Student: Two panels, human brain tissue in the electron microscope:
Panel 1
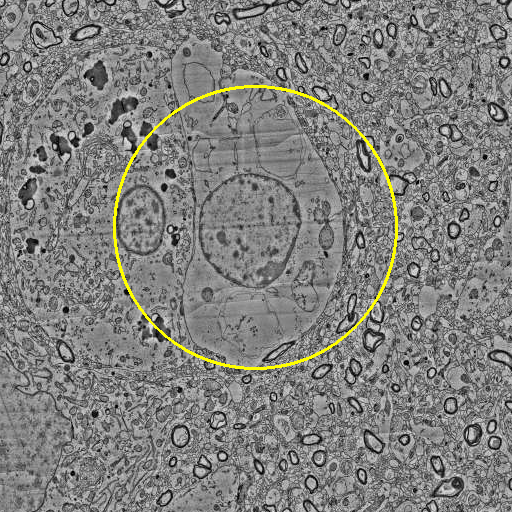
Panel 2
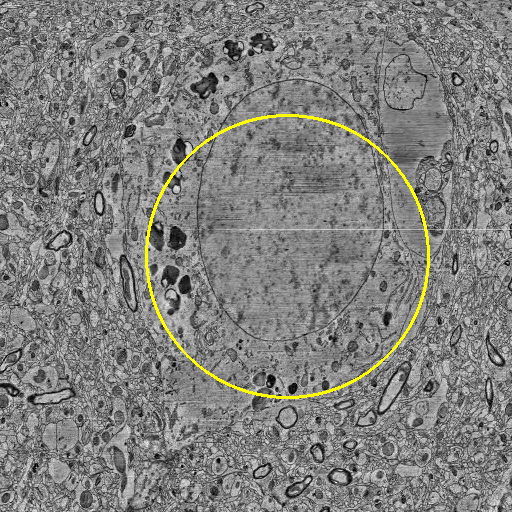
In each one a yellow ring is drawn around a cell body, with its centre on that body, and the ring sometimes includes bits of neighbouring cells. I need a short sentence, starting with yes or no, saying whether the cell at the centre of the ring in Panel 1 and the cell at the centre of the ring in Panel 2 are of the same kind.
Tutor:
No, they are two kinds of cell.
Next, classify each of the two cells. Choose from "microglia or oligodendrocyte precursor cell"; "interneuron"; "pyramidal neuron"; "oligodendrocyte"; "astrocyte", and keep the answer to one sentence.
In the first picture it is an astrocyte; in the second it is a pyramidal neuron.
